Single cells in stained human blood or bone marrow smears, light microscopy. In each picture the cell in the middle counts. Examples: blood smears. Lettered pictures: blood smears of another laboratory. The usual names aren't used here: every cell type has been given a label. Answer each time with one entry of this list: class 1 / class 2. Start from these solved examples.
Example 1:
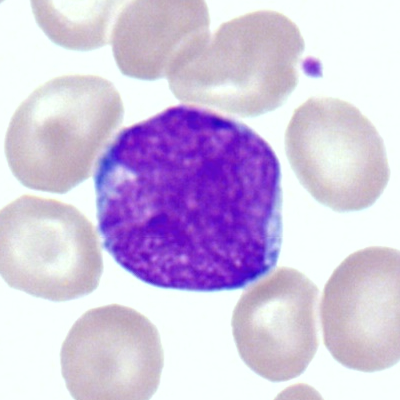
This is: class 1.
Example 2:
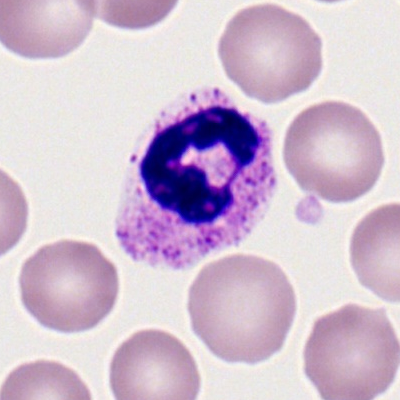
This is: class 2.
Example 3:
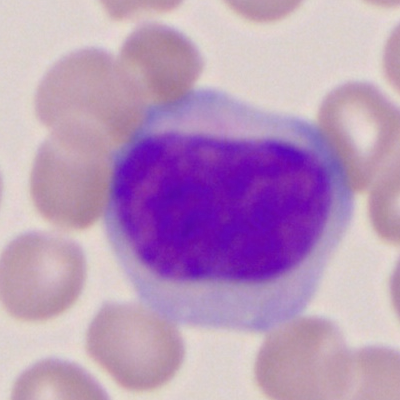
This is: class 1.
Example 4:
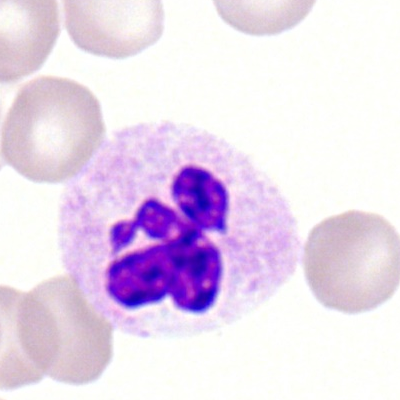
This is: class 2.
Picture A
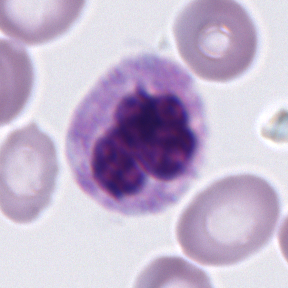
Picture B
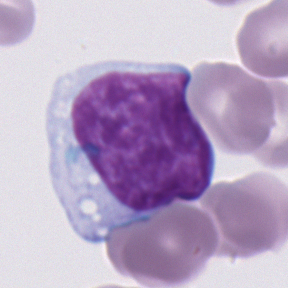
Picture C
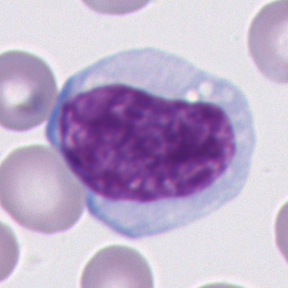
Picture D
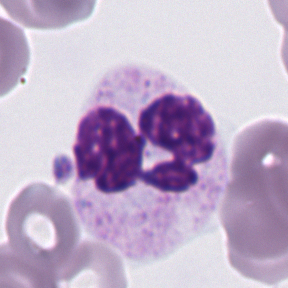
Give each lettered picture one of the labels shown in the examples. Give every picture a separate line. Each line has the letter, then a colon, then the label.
A: class 2.
B: class 1.
C: class 1.
D: class 2.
